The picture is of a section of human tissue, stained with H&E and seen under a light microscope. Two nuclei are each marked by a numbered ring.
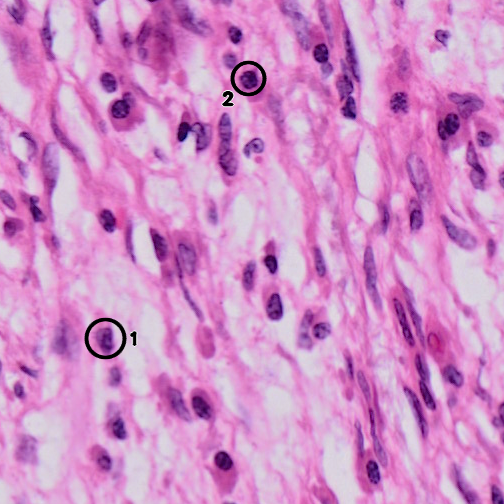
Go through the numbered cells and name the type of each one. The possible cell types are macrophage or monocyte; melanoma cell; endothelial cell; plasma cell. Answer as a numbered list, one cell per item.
1. macrophage or monocyte
2. plasma cell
